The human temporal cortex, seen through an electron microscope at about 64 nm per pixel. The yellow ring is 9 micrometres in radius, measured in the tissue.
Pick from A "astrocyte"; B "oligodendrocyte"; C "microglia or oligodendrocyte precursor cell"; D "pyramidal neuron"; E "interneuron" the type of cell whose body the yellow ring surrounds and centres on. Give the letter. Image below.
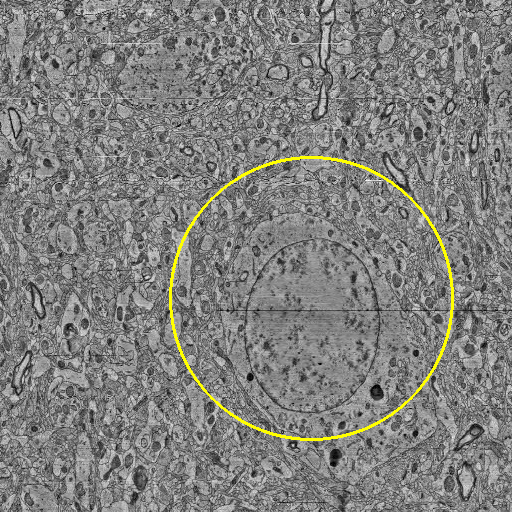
D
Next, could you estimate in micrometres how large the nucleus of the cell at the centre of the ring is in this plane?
In this plane the nucleus spans approximately 12 by 9 micrometers.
